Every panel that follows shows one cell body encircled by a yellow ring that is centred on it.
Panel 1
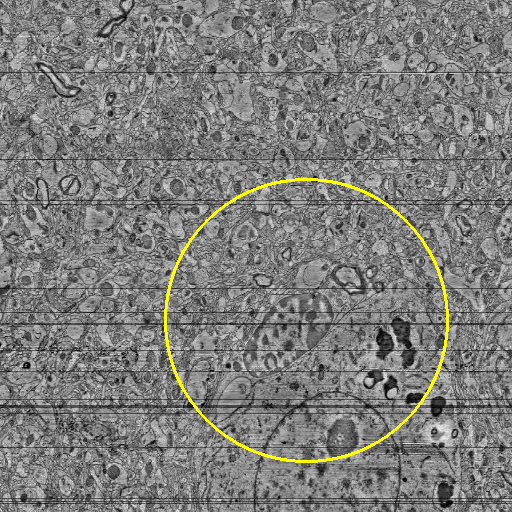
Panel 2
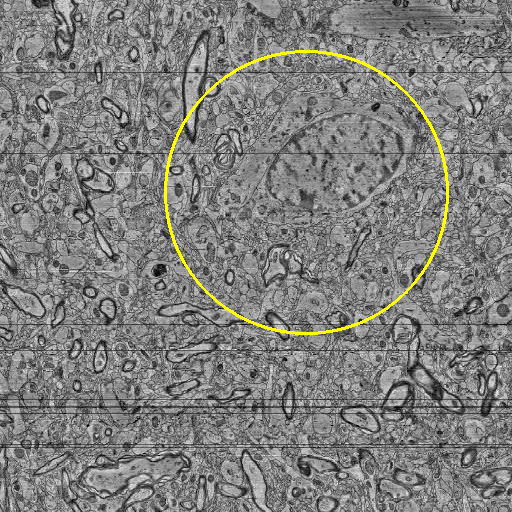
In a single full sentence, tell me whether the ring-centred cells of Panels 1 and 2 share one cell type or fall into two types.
In Panel 1 and Panel 2, the cells at the ring centres share one cell type.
